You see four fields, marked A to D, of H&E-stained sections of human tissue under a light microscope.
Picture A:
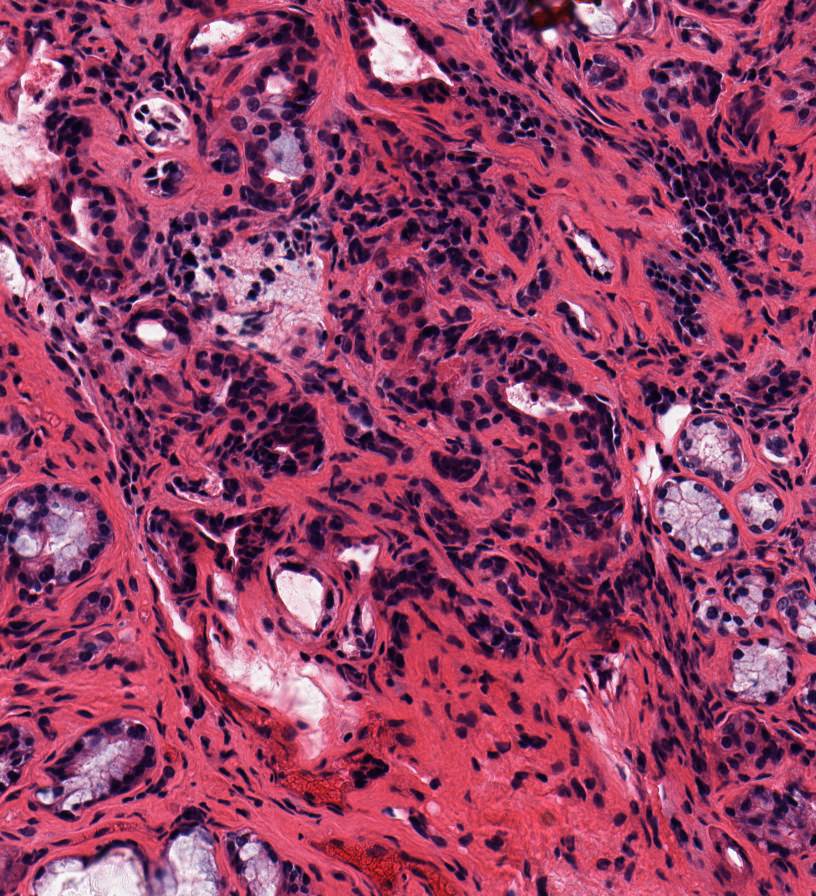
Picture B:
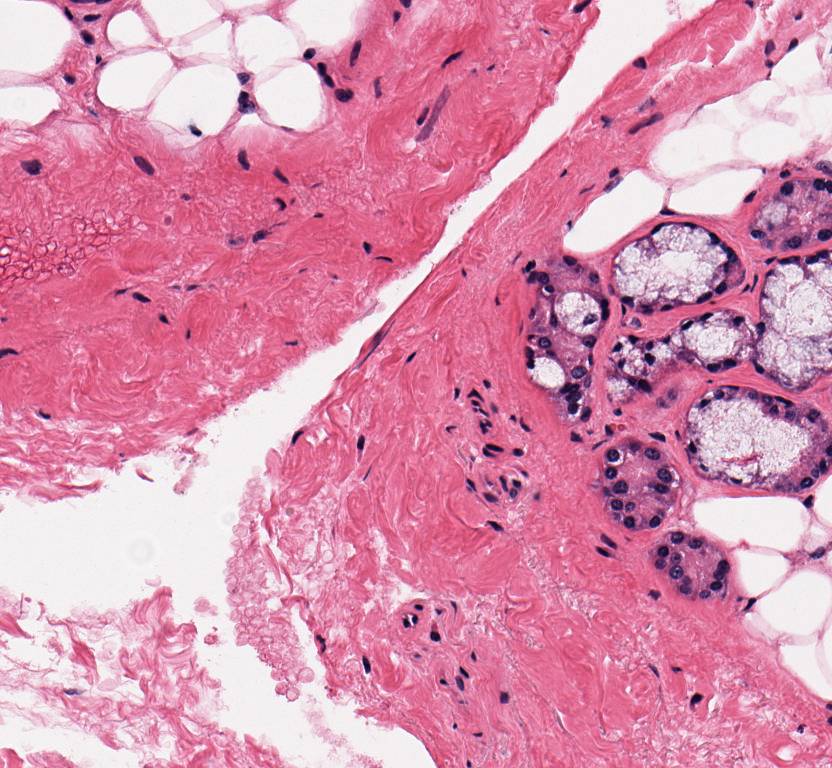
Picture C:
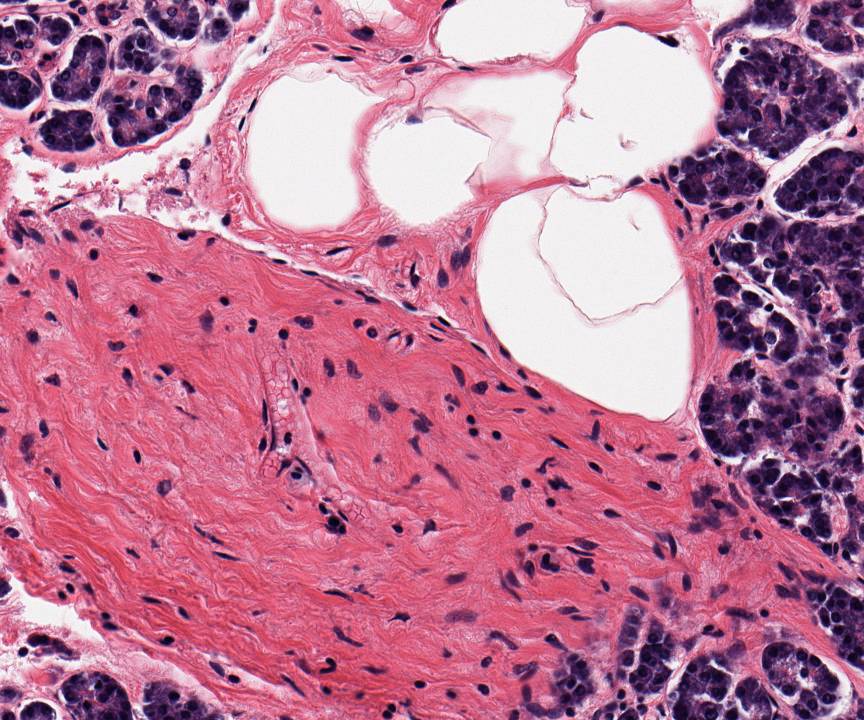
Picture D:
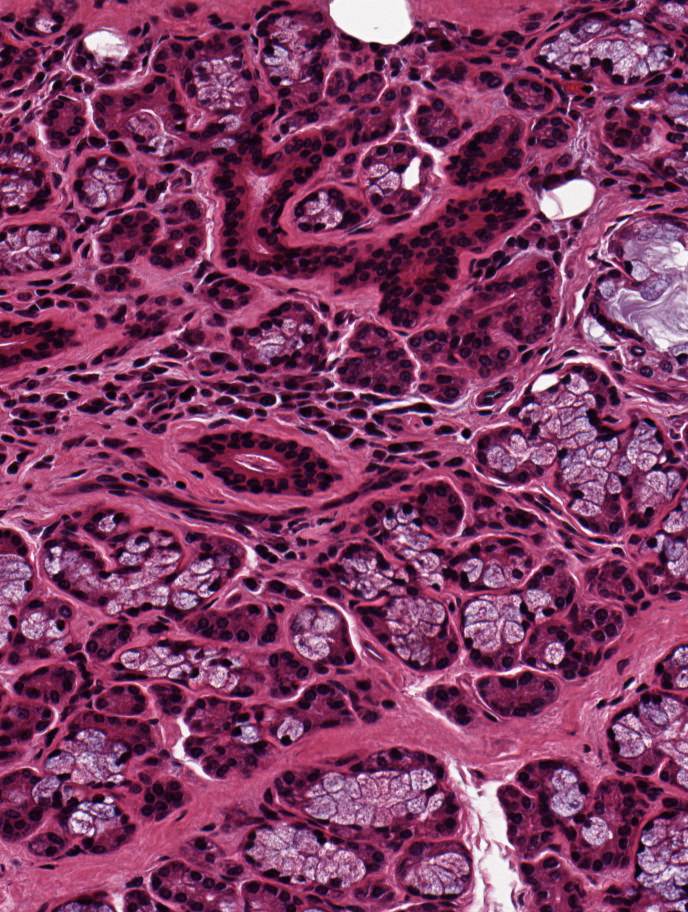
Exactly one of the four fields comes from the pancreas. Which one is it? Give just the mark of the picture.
C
